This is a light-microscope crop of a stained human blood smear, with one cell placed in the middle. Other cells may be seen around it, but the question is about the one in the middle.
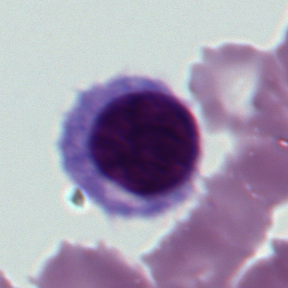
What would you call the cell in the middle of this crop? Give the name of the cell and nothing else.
hairy cell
